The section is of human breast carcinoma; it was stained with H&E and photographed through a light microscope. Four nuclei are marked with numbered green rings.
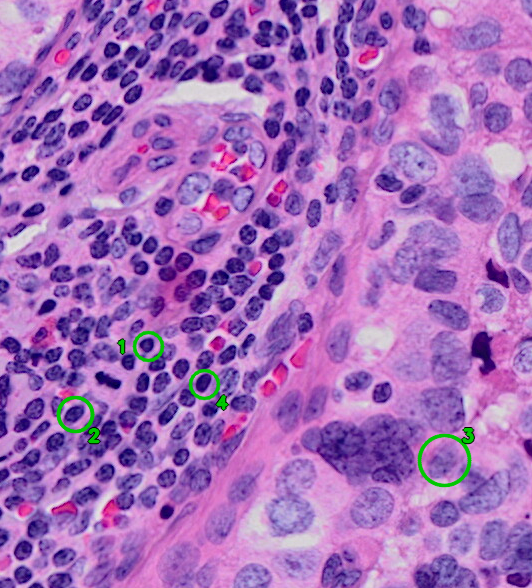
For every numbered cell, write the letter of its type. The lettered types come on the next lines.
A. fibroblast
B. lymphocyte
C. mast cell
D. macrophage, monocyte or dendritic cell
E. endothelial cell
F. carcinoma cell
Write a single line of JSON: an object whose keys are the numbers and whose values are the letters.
{"1": "B", "2": "B", "3": "F", "4": "B"}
